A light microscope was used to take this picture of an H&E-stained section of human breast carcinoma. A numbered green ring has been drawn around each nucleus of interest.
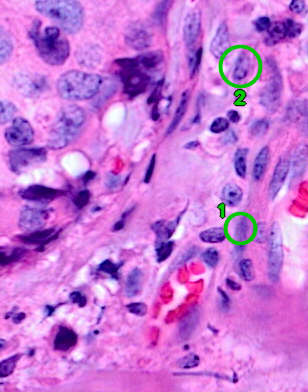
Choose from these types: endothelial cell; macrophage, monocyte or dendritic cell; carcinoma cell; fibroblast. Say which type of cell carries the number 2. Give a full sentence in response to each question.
The one labeled 2 is a macrophage, monocyte or dendritic cell, to put it simply.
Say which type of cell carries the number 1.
The identity of cell 1 is that of an endothelial cell.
